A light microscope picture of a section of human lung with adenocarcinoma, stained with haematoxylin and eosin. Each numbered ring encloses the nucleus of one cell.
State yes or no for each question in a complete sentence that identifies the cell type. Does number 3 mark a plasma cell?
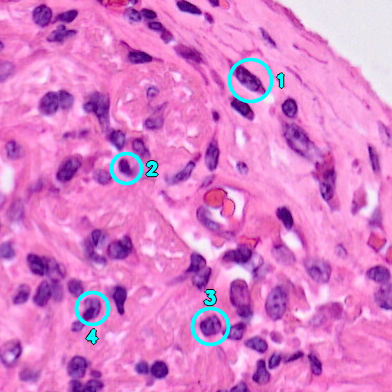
No, with respect, cell 3 is a lymphocyte rather than a plasma cell.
